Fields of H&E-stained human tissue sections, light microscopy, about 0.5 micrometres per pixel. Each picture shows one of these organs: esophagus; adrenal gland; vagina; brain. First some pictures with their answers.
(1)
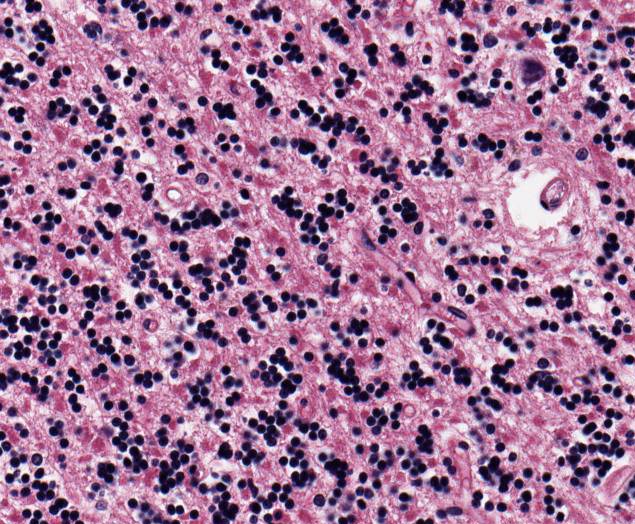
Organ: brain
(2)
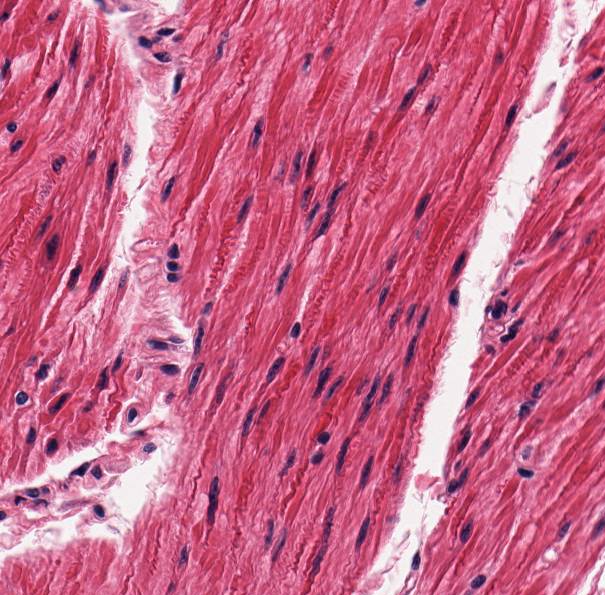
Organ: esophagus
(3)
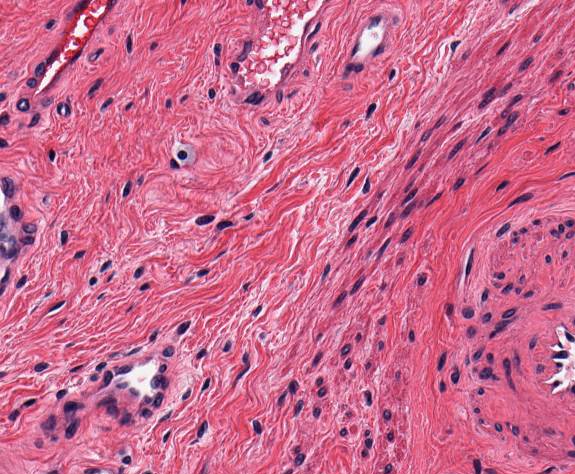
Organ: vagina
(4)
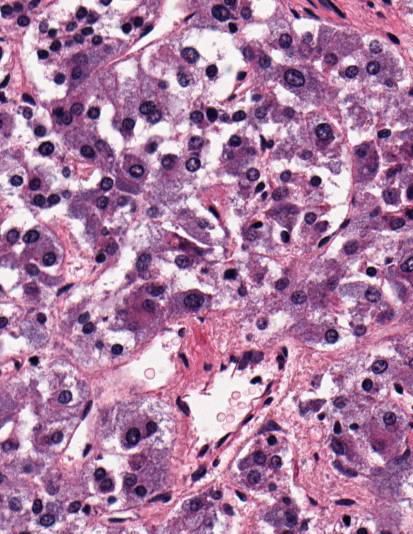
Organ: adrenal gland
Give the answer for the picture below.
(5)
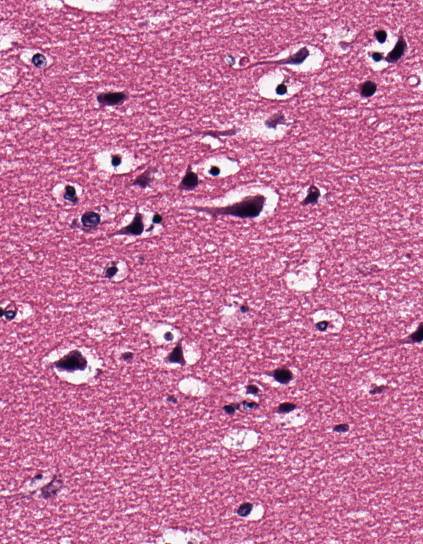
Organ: brain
